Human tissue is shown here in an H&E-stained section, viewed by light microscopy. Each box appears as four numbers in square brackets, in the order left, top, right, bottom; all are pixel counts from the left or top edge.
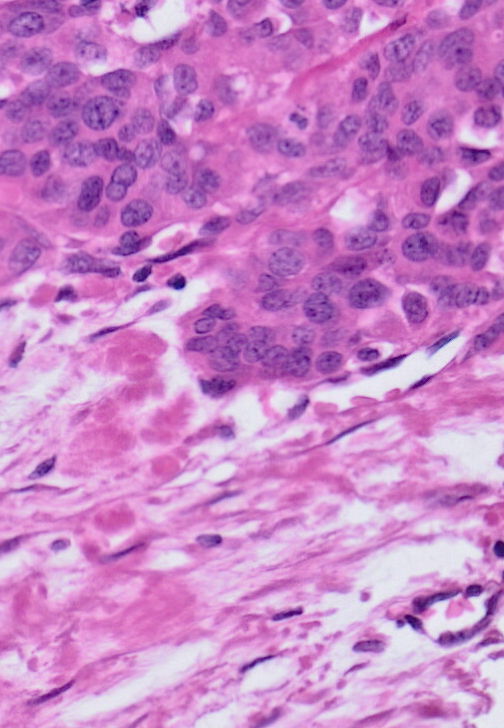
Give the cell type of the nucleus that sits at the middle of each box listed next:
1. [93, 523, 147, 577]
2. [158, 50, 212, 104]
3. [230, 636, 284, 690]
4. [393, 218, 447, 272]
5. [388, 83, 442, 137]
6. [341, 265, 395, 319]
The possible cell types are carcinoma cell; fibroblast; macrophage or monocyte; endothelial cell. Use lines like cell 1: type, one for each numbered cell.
cell 1: fibroblast
cell 2: carcinoma cell
cell 3: fibroblast
cell 4: carcinoma cell
cell 5: carcinoma cell
cell 6: carcinoma cell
